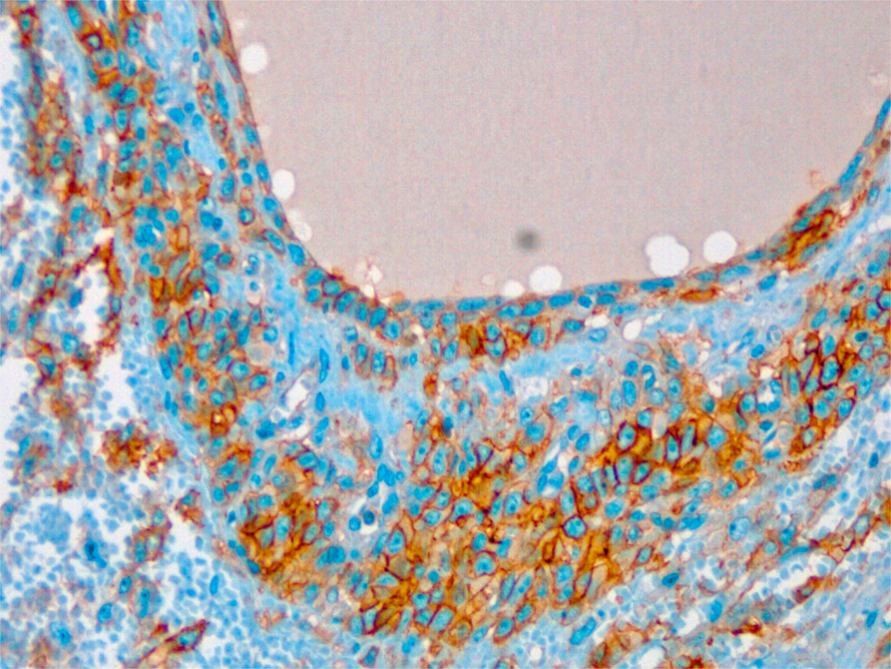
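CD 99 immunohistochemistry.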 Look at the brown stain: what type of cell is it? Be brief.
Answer: Granulosa cells.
